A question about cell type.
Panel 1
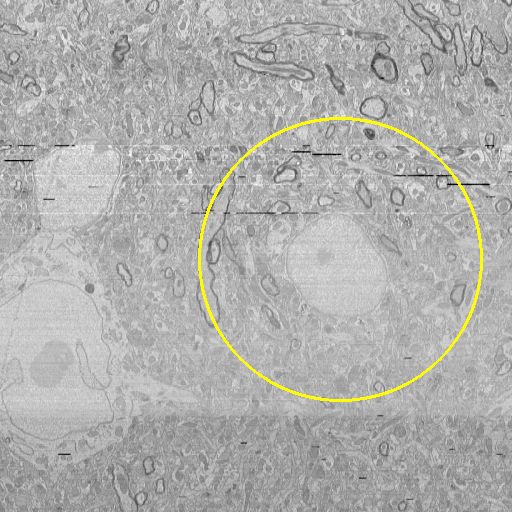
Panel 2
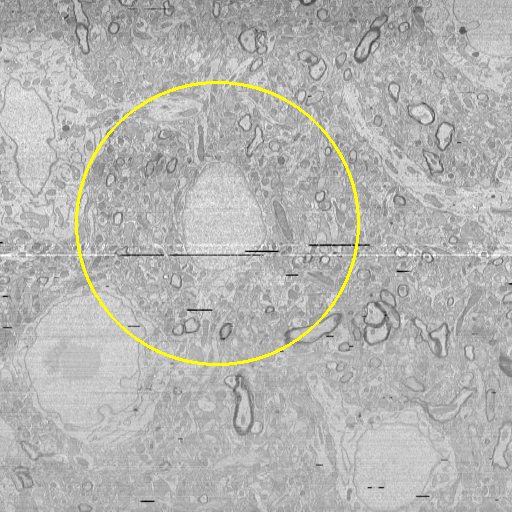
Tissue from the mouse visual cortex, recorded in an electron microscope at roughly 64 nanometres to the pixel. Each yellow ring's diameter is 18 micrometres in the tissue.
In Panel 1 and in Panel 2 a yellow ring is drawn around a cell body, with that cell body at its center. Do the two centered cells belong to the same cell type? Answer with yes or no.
yes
